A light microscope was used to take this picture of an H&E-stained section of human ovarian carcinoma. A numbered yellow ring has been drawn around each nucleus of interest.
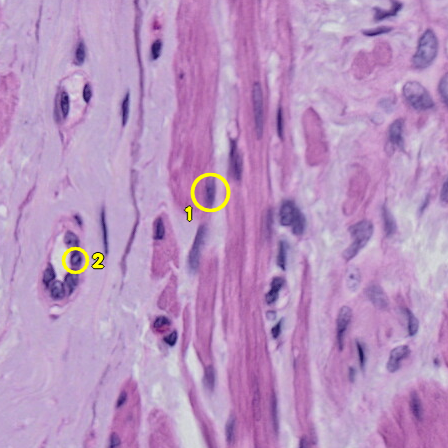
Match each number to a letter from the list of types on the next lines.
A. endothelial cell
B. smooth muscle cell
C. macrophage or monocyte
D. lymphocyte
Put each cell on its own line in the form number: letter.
1: B
2: A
